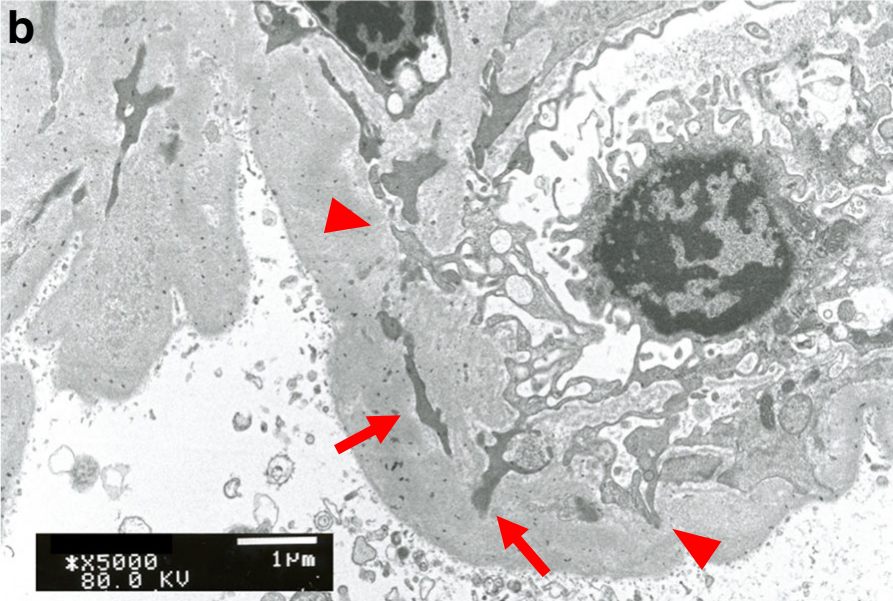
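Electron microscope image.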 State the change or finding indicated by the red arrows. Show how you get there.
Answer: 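Dark, slender cytoplasmic processes run within the thick grey wall of the loop. These processes split the wall into layers. So: Mesangial interposition-like changes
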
